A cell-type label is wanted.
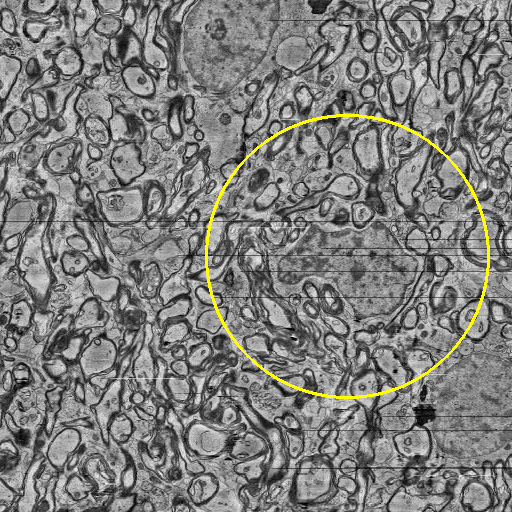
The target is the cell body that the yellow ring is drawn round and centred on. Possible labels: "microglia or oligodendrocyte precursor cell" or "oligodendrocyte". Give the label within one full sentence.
Of the labels offered, the cell in the middle of the yellow ring is a microglial cell or oligodendrocyte precursor cell.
